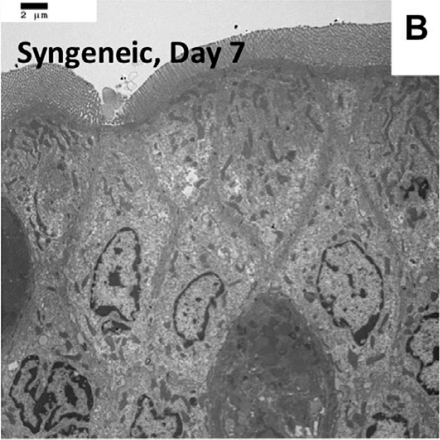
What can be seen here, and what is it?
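Columnar epithelial cells of the small intestine are seen side by side beneath a continuous apical brush border of fine, regular microvilli. Thin lateral cell membranes clearly separate neighbouring cells, which are arranged in an orderly row. Elongated oval nuclei with dark heterochromatin along the nuclear envelope and small nucleoli lie in the lower half of the cells. The cytoplasm contains many small dense organelles distributed fairly evenly. A darker, denser cell profile lies among the epithelial cells near the bottom.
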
